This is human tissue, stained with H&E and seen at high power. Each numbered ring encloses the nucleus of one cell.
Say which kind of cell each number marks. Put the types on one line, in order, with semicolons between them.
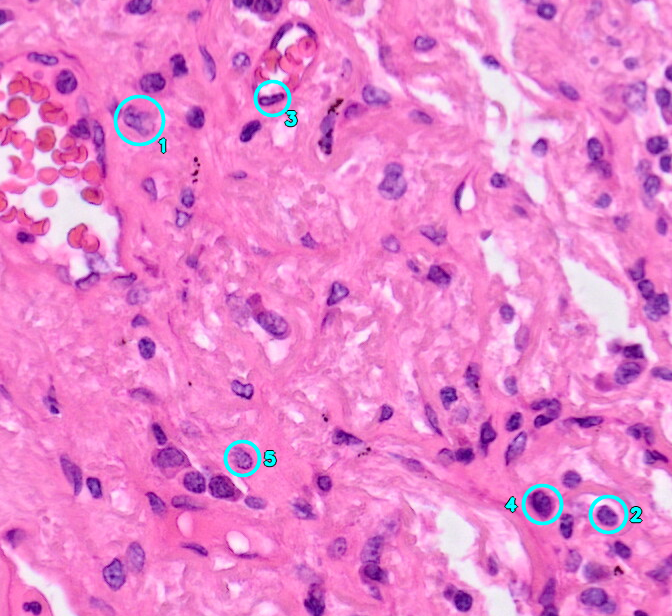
fibroblast; lymphocyte; endothelial cell; plasma cell; mast cell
